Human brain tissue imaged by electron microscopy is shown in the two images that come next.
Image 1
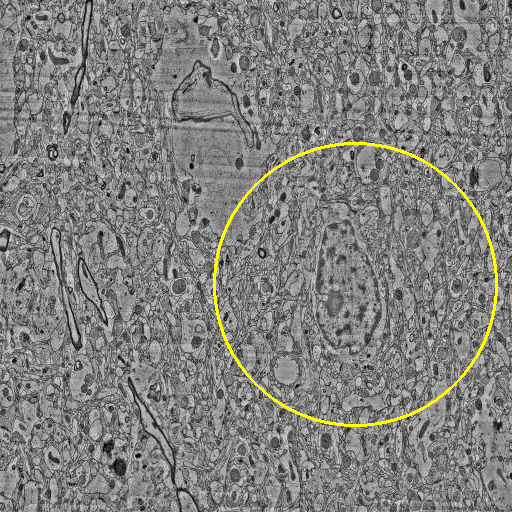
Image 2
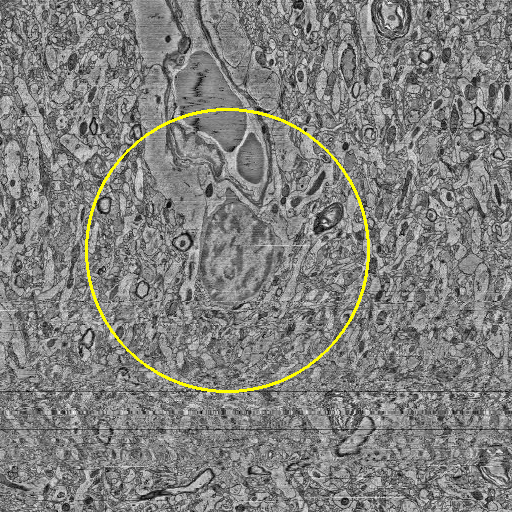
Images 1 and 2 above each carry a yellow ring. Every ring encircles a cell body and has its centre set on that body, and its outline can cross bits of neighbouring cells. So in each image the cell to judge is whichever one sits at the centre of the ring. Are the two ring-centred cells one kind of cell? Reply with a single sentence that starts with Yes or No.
No, in Image 1 and Image 2 the cells at the centres of their rings fall into two types.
